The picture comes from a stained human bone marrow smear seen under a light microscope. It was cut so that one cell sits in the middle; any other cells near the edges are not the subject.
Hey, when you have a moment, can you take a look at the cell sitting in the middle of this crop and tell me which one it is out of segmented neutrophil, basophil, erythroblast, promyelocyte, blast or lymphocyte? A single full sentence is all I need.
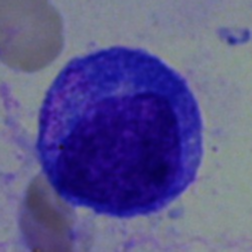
Framed in the middle of the crop is a promyelocyte.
